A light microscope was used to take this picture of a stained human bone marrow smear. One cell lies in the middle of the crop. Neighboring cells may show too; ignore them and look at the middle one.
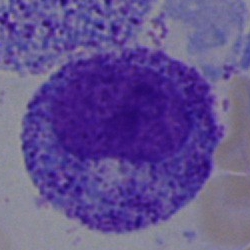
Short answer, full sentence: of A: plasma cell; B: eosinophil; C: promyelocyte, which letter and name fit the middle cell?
The centered cell is a promyelocyte, which is why option C is right.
